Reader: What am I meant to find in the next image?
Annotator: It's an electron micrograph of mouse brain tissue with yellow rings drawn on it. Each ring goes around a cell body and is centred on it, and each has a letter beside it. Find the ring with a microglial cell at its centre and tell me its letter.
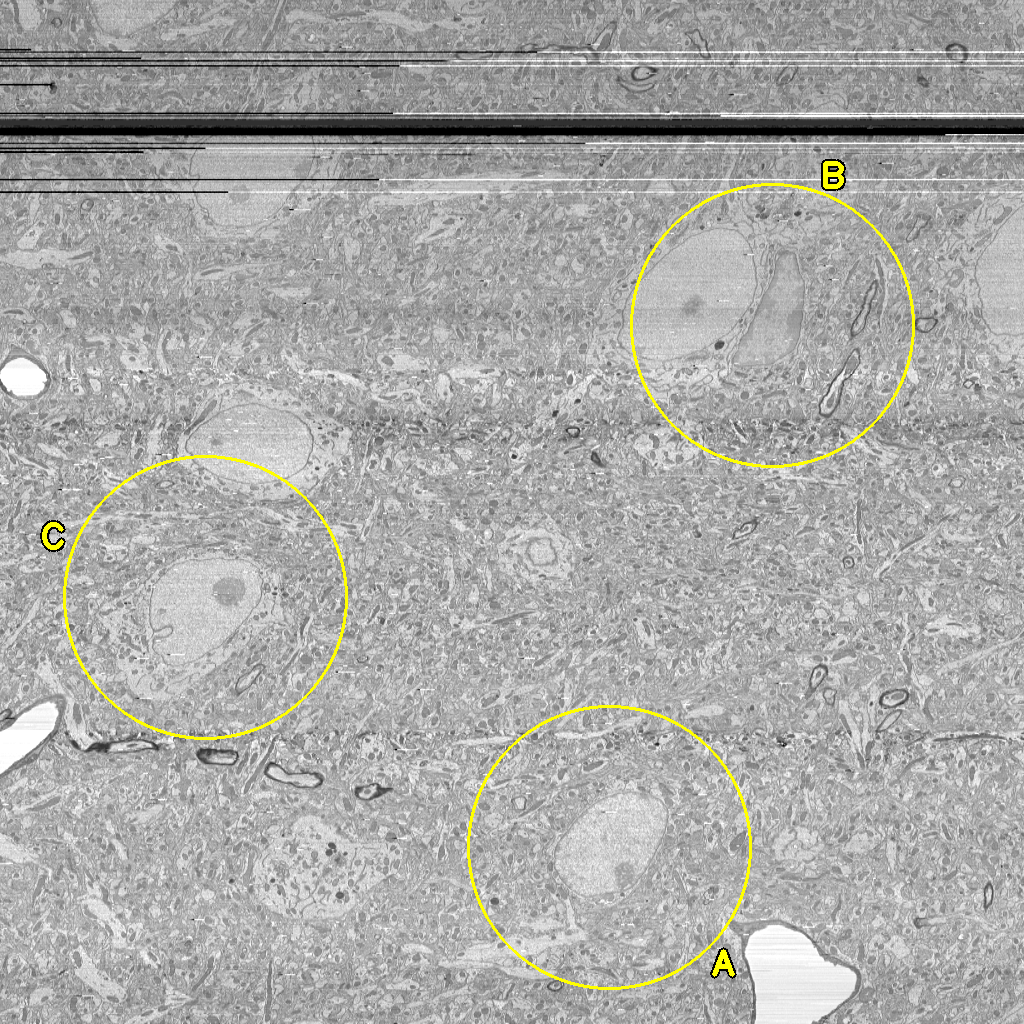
B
